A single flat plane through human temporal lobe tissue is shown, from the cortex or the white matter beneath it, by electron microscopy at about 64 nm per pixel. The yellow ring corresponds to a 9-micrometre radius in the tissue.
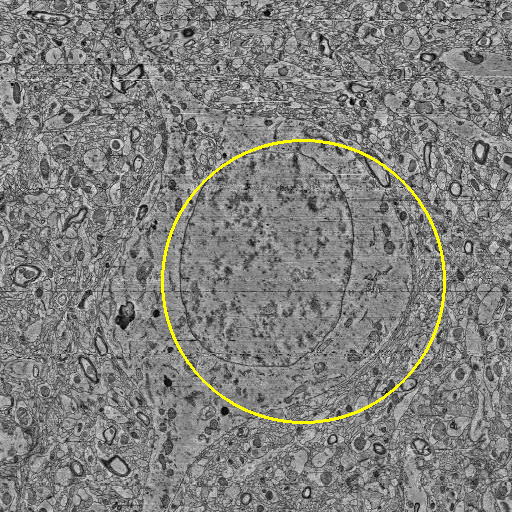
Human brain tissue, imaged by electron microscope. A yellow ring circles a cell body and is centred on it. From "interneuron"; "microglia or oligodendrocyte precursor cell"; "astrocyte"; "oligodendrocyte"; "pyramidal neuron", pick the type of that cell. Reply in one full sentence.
The cell body at the centre of the yellow ring belongs to a pyramidal neuron.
